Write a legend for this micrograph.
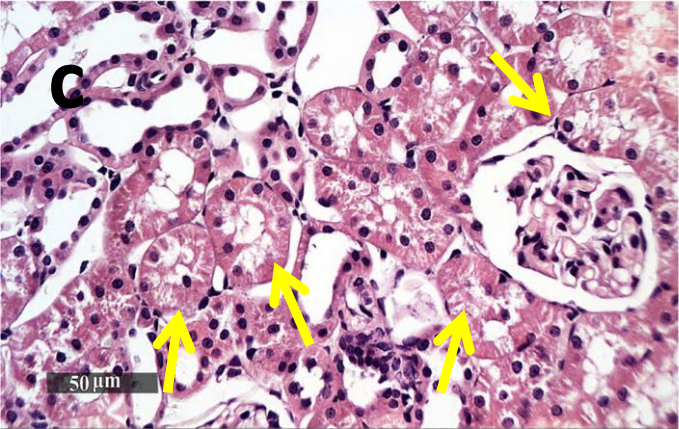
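This is renal cortex with a glomerulus and surrounding tubules showing degenerative changes. The glomerulus on the right has a loose, shrunken capillary tuft separated from the capsule by a wide clear space. Many tubules are lined by cells with pale, frothy, vacuolated pink cytoplasm, and their lumens contain granular debris. Some tubular nuclei are small and dark or are missing. The spaces between tubules are widened, and small clusters of dark nuclei lie in the interstitium near the bottom.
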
